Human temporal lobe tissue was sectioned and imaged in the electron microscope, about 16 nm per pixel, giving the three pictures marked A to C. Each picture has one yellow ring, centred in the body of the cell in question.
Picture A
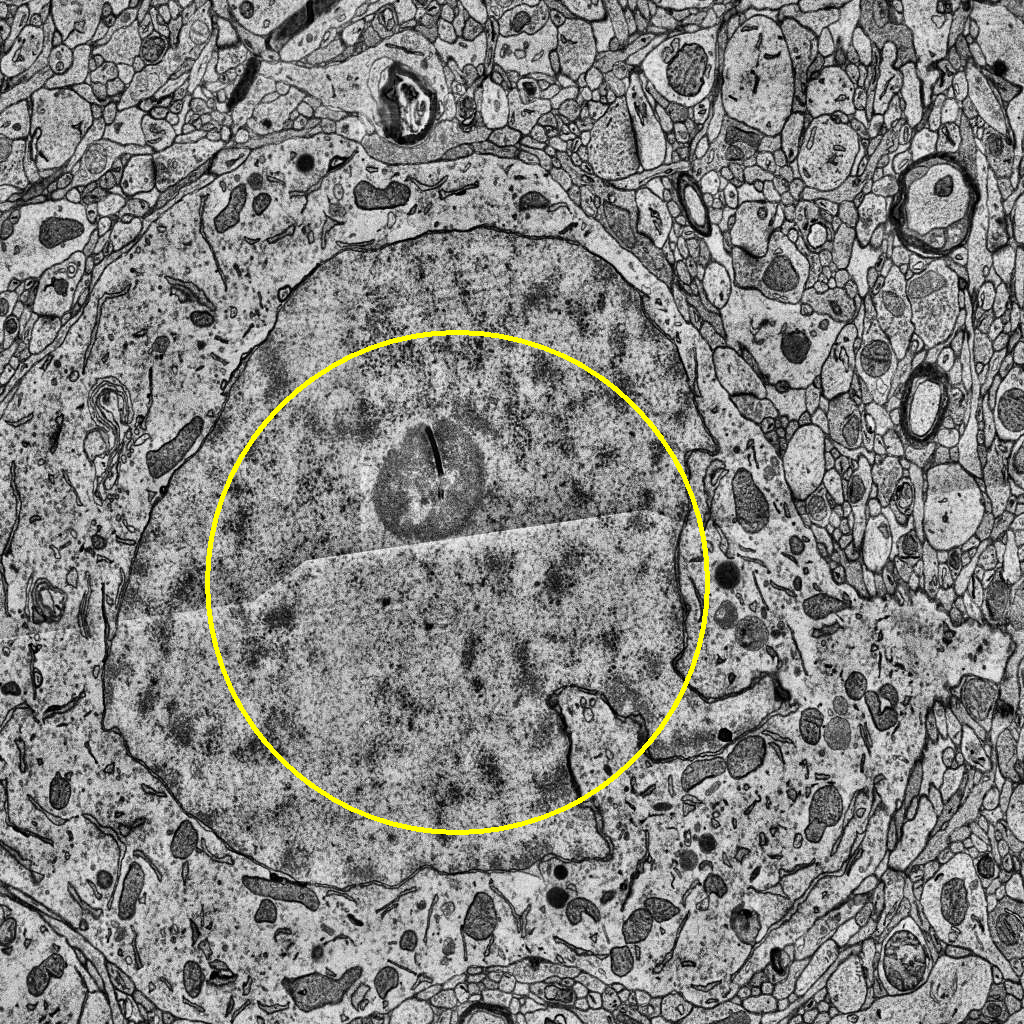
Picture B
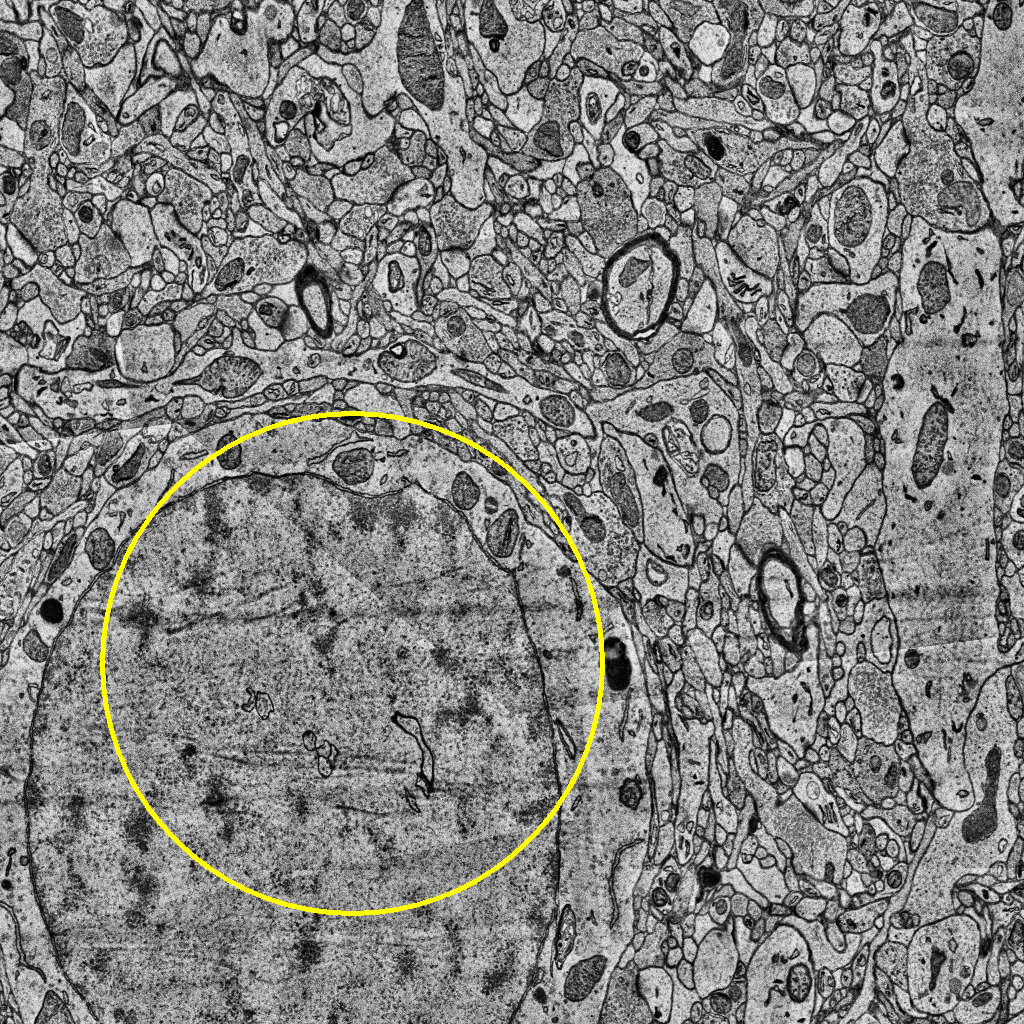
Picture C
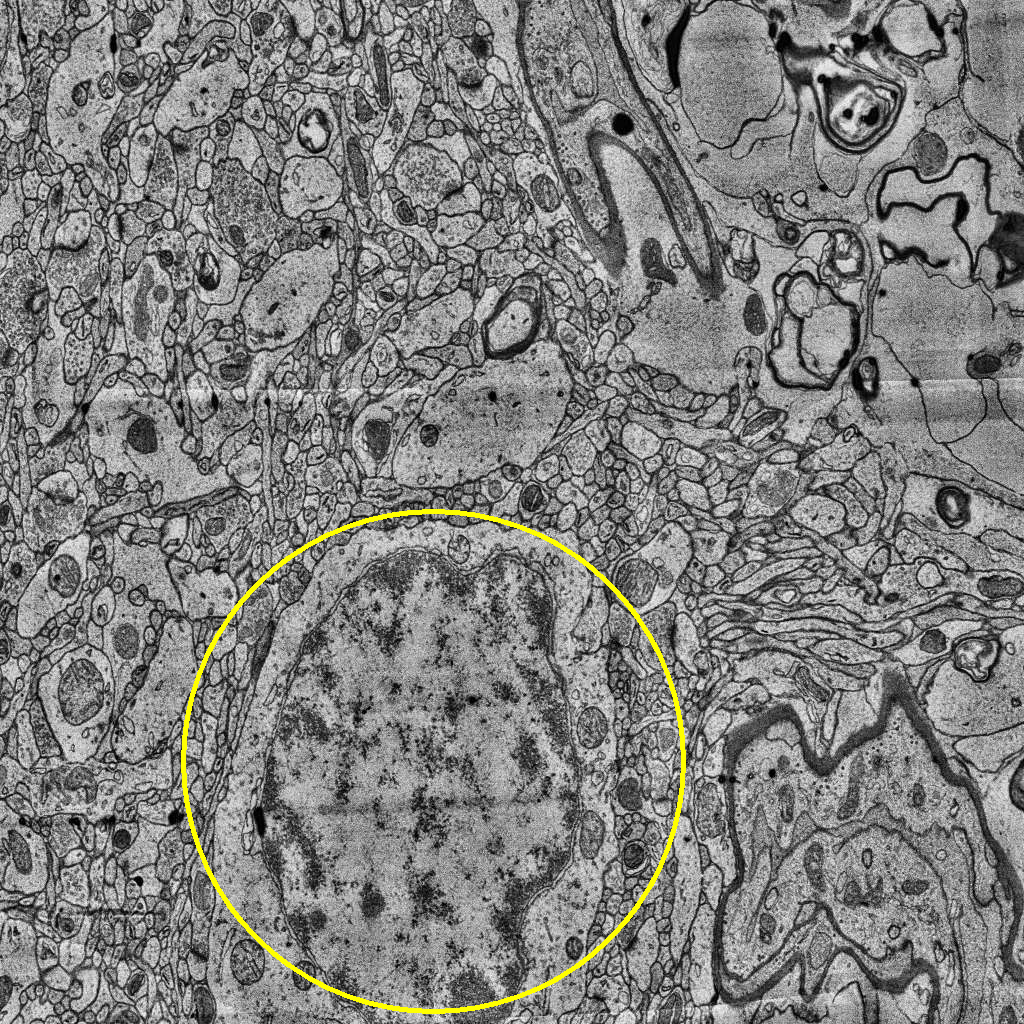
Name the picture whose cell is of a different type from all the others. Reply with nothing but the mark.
B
